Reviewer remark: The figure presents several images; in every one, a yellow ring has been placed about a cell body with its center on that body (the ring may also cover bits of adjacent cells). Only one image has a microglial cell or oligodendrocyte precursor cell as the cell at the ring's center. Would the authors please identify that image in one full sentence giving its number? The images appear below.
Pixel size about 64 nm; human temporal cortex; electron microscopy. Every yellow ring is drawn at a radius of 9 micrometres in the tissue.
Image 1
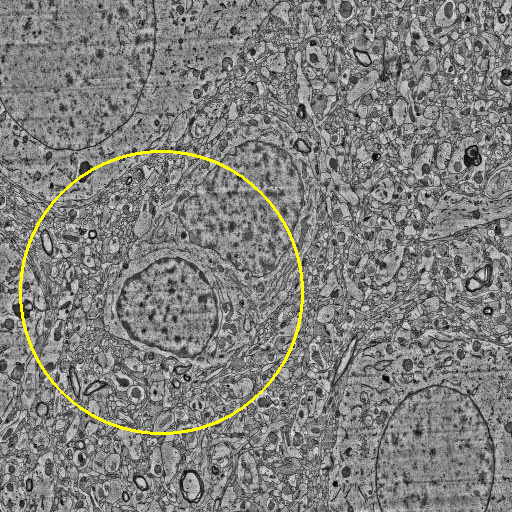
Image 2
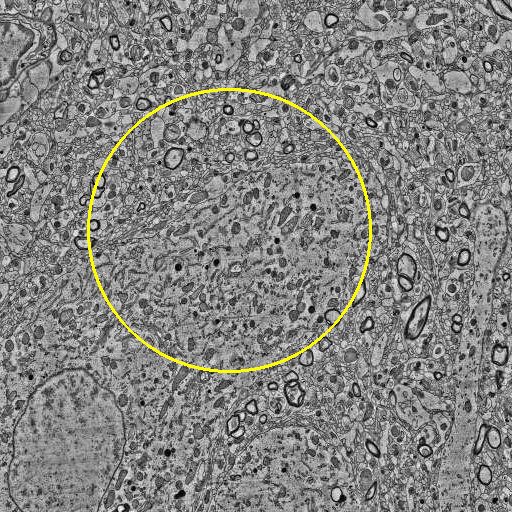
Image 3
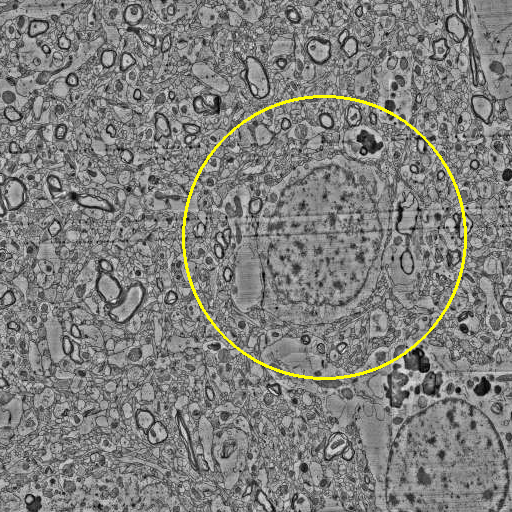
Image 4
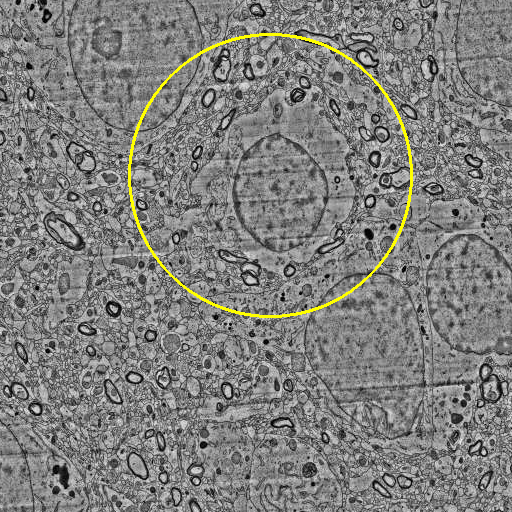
The ring's central cell in image 1 is the one the question describes.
